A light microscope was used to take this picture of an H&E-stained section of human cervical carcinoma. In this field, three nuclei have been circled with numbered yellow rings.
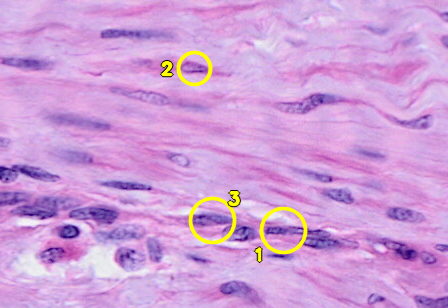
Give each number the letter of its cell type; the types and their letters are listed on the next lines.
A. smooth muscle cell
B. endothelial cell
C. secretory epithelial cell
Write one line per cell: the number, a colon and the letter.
1: B
2: A
3: B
